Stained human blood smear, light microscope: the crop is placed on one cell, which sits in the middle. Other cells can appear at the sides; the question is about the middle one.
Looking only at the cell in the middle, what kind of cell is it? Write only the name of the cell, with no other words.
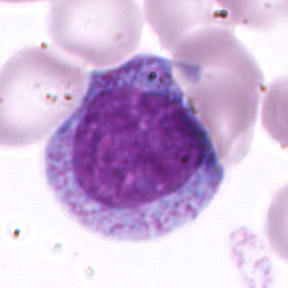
promyelocyte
